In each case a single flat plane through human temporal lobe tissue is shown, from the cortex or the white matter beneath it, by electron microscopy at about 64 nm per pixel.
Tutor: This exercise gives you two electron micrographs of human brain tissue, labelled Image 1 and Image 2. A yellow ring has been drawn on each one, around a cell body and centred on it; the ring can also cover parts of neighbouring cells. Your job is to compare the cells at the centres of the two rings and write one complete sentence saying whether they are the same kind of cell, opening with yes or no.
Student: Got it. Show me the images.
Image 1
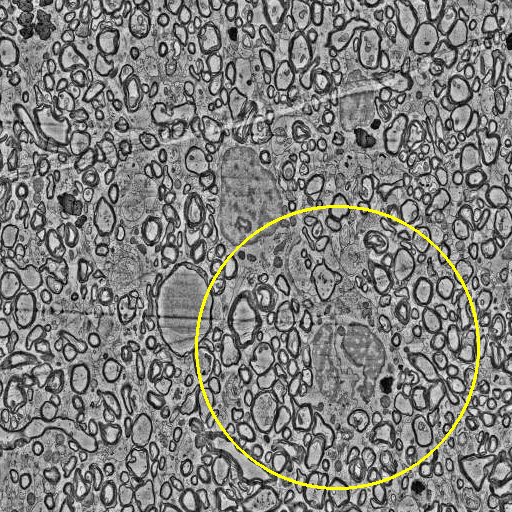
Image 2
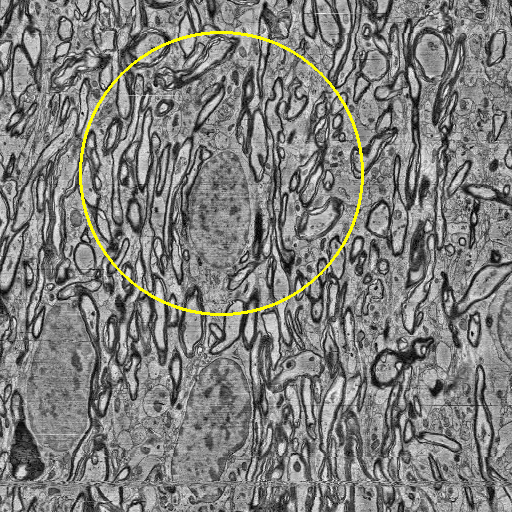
No, the two cells belong to two kinds.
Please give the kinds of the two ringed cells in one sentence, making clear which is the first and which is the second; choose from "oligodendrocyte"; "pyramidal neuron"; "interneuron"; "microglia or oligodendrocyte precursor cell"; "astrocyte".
In the second picture the ringed cell is a microglial cell or oligodendrocyte precursor cell; in the first it is an oligodendrocyte.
